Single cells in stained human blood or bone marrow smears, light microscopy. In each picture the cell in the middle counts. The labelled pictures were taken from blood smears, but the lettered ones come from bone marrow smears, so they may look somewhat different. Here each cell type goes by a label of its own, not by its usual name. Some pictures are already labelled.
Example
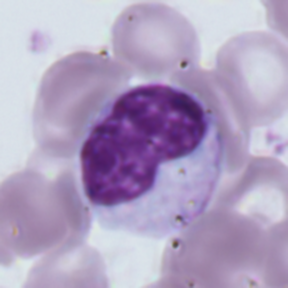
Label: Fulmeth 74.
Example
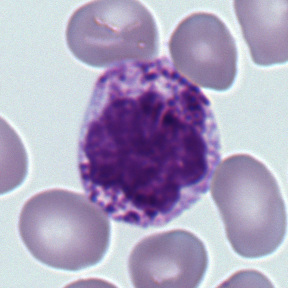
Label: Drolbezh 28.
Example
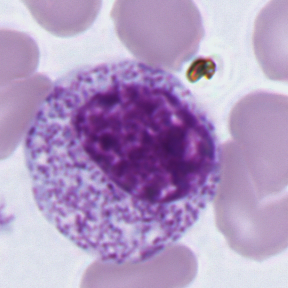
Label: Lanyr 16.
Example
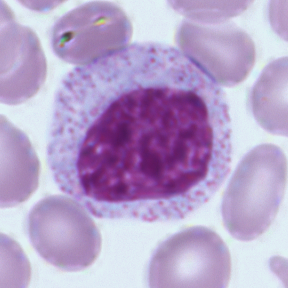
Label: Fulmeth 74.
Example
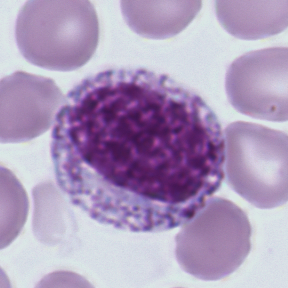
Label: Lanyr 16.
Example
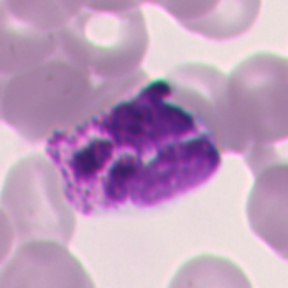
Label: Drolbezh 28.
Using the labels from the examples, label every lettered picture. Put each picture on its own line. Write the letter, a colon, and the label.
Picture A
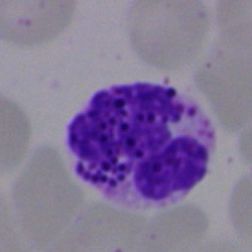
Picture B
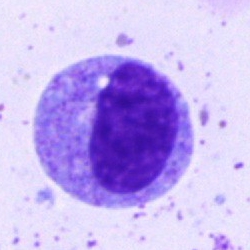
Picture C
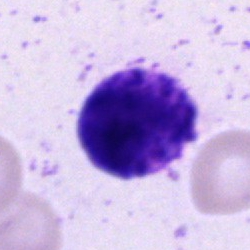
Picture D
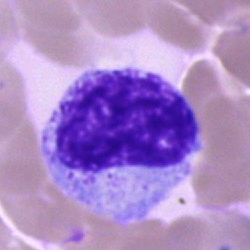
A: Drolbezh 28.
B: Lanyr 16.
C: Drolbezh 28.
D: Lanyr 16.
